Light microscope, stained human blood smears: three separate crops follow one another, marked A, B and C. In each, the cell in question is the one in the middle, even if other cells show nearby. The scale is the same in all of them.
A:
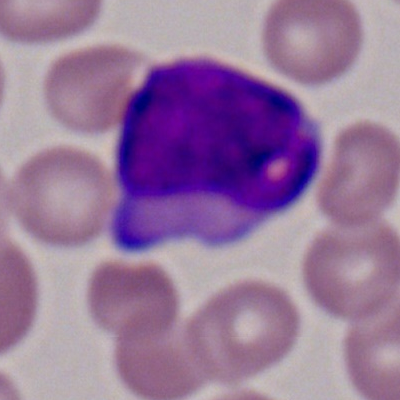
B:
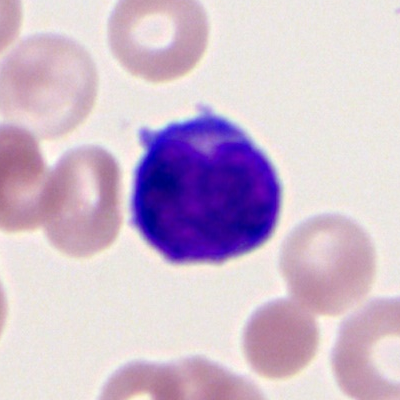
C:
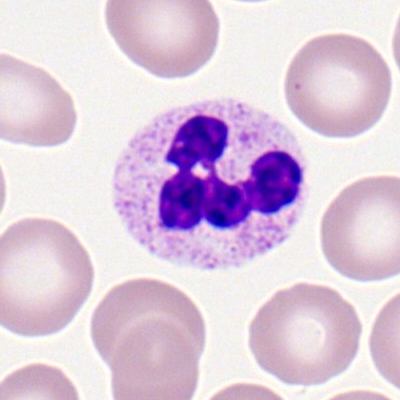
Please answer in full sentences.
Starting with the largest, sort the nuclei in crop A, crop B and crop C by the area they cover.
Largest first: A, B, C.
